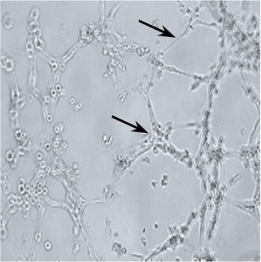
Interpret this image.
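These are cultured endothelial cells arranged into tube-like structures. Elongated cells line up into slender cords that join at branch points, forming a loose network of loops around open spaces. Along the cords and at the junctions lie clusters of small rounded cells. Many small rounded cells also sit apart, not incorporated into the network.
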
